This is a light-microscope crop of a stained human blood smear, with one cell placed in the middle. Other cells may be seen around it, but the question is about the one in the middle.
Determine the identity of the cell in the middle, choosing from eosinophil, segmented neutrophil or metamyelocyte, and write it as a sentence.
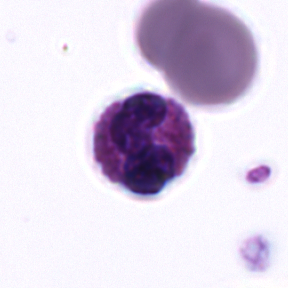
The cell of interest, located centrally, is an eosinophil.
